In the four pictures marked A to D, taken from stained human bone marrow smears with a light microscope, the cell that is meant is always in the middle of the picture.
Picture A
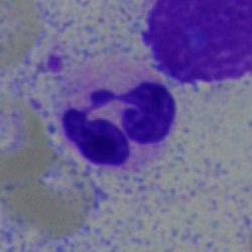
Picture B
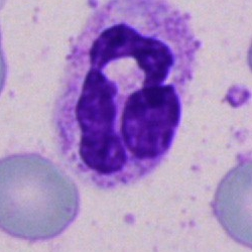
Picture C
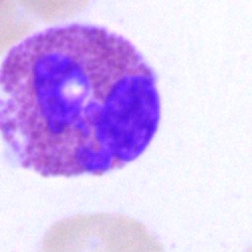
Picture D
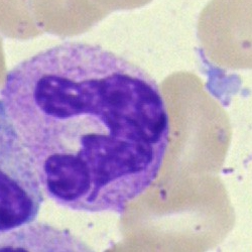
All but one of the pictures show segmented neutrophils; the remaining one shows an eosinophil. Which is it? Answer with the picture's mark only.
C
